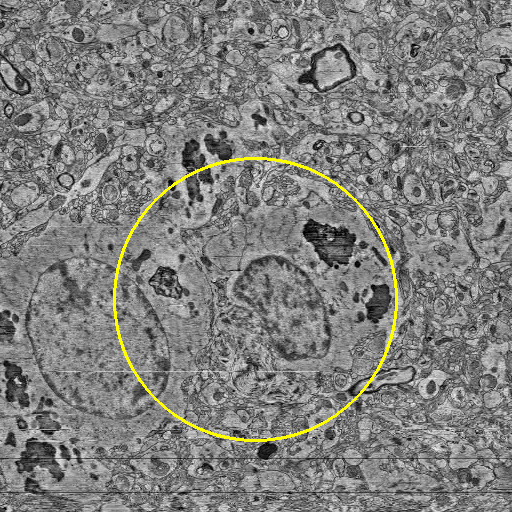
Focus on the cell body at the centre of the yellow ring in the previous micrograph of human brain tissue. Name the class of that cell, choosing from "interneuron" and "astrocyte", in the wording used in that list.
astrocyte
